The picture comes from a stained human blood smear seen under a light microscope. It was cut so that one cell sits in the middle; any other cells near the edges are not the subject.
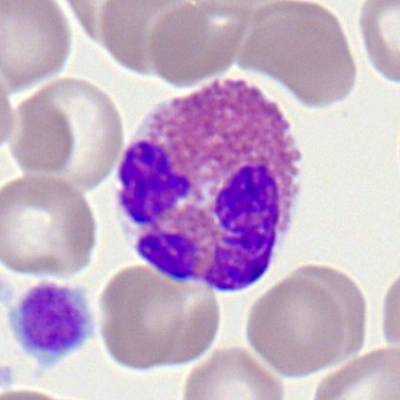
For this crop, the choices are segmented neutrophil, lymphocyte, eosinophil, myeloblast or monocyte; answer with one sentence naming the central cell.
Here the cell in the middle is an eosinophil.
